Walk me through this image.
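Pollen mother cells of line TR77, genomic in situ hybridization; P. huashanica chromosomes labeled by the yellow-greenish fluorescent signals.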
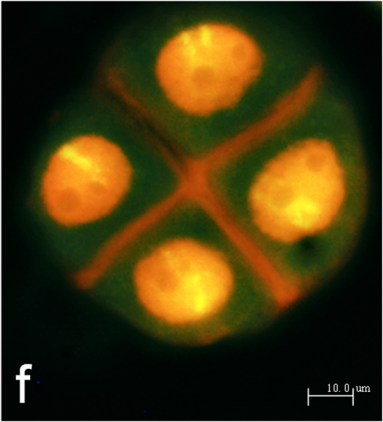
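A group of four progeny cells at the end of the second meiotic division, arranged as a tetrad within one rounded outline. Each of the four cells holds a single large, round, orange-fluorescing nucleus, and the cells are separated by thin orange-red walls that meet in the centre in a cross. The cytoplasm around the nuclei is dim green. Within each nucleus a small, brighter yellow-green patch stands out against the orange chromatin, usually toward one side of the nucleus. The nuclei are of similar size and are placed one in each quarter of the group.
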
